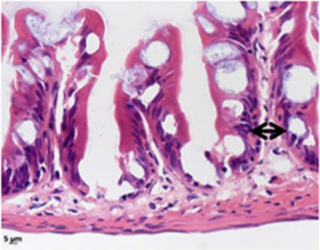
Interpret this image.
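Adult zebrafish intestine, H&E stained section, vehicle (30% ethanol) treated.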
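Slender folds rise from a pink muscular wall at the base and project into the pale lumen. Each fold is covered by a tall columnar epithelium with bright pink cytoplasm and elongated dark purple nuclei lined up toward the base of the cells. Scattered among the epithelial cells are goblet cells, seen as rounded pale vacuoles, some with faint bluish mucus. The core of each fold is a narrow strip of connective tissue with a few nuclei, and the folds are fairly thin and well separated.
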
